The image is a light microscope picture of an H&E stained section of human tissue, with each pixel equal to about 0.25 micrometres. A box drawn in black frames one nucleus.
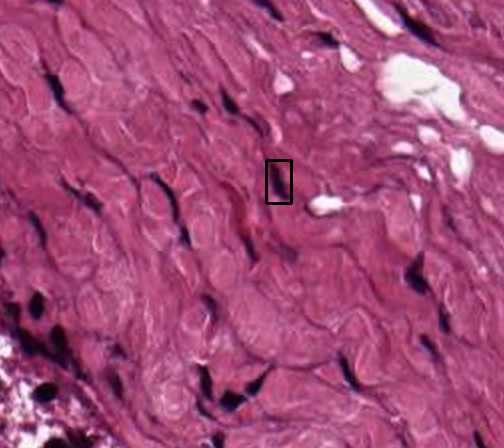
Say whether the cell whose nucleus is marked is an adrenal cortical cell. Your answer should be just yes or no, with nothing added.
no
